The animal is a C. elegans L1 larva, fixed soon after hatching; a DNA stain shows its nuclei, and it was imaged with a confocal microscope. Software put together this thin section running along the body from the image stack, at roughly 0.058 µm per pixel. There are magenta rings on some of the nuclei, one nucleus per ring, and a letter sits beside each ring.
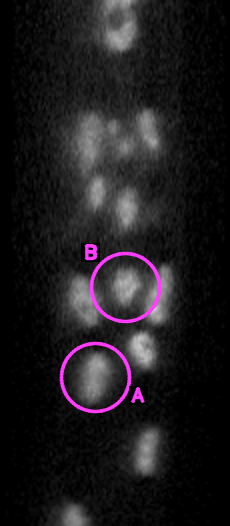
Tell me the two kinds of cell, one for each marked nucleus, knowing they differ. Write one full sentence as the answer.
A is from a body wall muscle cell, and B is from a pharyngeal muscle cell.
